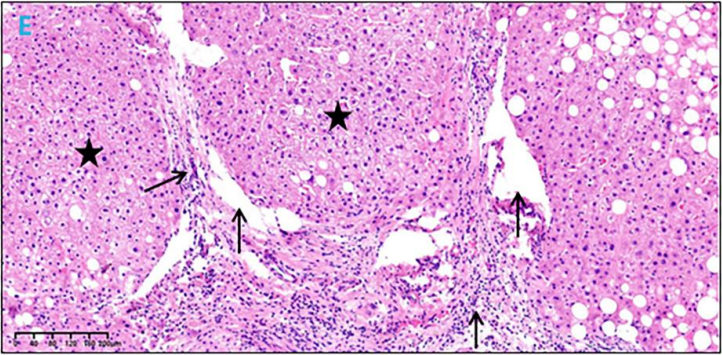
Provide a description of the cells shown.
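This is liver tissue in which a broad band of pink fibrous tissue crosses the field, packed with small dark-blue inflammatory cells. Within and beside this band lie several empty, irregular thin-walled vascular spaces, some of which bulge outward toward the neighbouring liver cells. On either side, pink polygonal hepatocytes form rounded nodular fields separated by the fibrous tissue. Many hepatocytes, especially toward the right, contain large clear round fat vacuoles that push their nuclei aside, so the parenchyma looks bubbly there.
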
